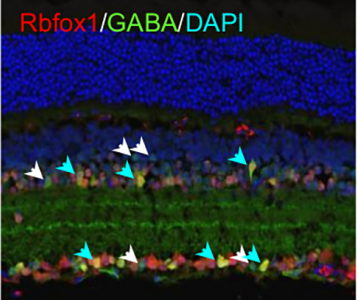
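This is a cross-section of retina with amacrine cells in the inner nuclear layer and displaced amacrine cells in the ganglion cell layer. The top is a thick, dense band of blue nuclei, the outer nuclear layer, above a thin dark outer plexiform layer. In the inner part of the inner nuclear layer, cell bodies are red, green or yellow where both colours overlap. The inner plexiform layer below is filled with diffuse green, with faint horizontal bands. The ganglion cell layer at the bottom is a tightly packed row of cells, most of them red and yellow, a few green only.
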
